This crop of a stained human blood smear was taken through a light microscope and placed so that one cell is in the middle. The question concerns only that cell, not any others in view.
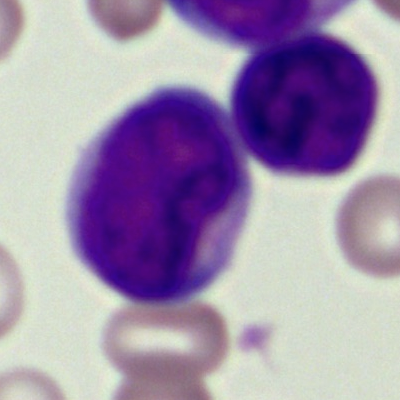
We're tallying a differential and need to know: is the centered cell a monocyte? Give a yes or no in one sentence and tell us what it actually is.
No, the cell placed at the center is a blast rather than a monocyte.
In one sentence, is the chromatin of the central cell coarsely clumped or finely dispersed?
The chromatin shows a fine pattern without coarse clumps.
